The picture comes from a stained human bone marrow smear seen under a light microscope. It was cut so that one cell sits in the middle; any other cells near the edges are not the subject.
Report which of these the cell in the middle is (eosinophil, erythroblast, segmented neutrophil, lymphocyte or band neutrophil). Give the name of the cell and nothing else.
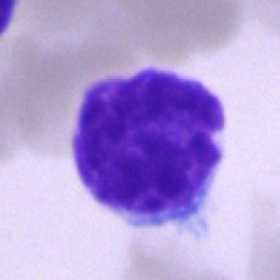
lymphocyte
